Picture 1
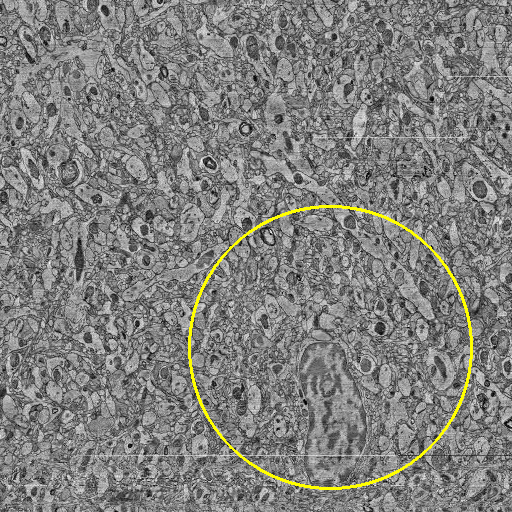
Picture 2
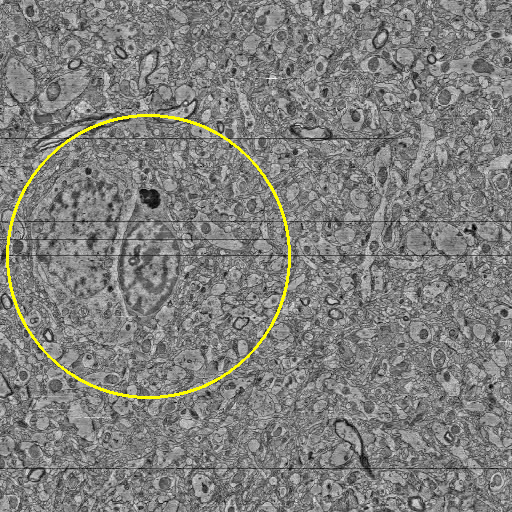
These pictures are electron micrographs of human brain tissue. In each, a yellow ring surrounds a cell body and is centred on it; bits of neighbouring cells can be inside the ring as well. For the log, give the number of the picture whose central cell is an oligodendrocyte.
2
